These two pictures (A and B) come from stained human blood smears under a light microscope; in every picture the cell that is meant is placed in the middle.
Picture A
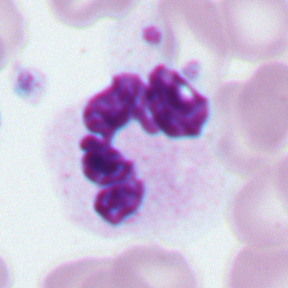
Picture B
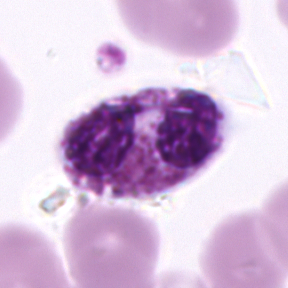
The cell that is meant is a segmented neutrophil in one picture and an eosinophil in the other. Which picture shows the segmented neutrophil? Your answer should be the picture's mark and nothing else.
A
